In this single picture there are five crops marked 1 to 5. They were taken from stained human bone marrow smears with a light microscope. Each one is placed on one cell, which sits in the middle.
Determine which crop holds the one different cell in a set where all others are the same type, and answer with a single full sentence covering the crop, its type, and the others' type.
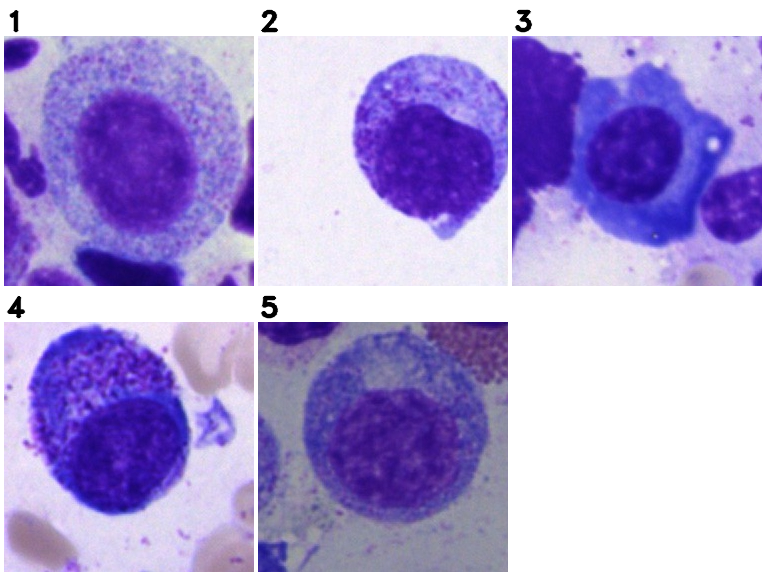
The one crop not showing promyelocytes is crop 3, which shows a plasma cell.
